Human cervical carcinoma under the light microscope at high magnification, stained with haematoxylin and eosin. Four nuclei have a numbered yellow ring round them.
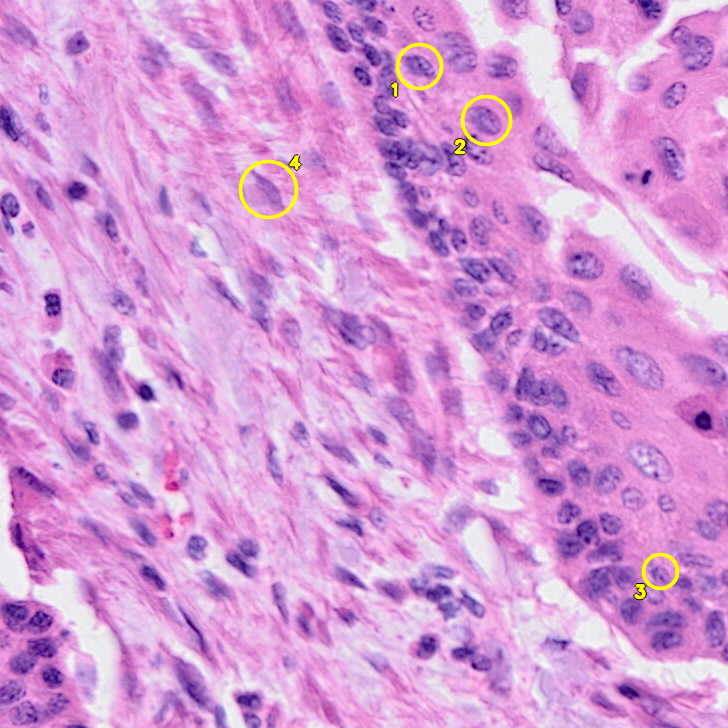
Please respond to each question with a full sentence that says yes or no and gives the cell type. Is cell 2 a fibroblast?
No, the cell numbered 2 is a squamous carcinoma cell rather than a fibroblast.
